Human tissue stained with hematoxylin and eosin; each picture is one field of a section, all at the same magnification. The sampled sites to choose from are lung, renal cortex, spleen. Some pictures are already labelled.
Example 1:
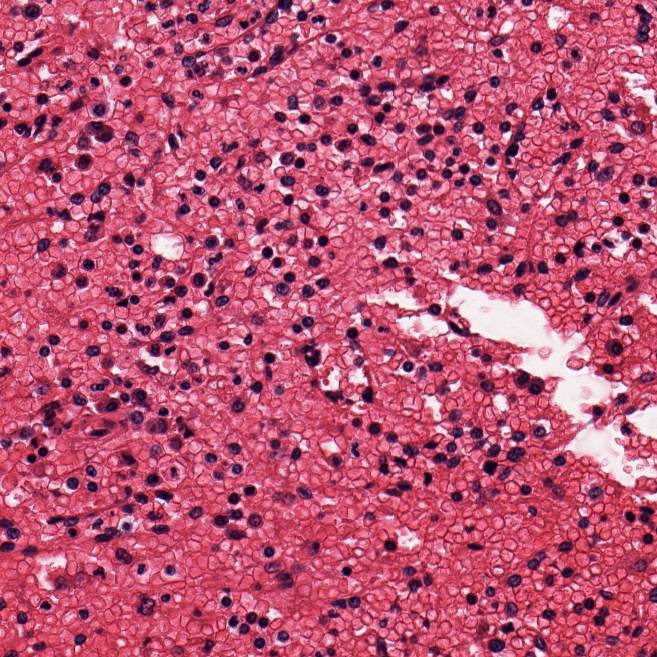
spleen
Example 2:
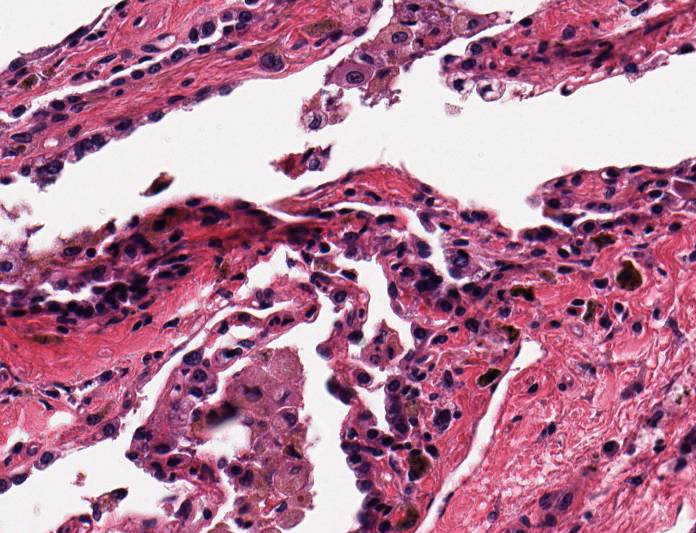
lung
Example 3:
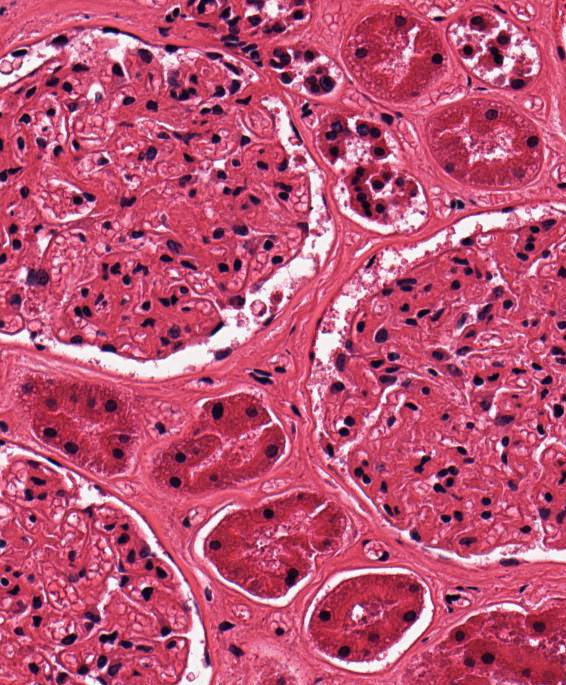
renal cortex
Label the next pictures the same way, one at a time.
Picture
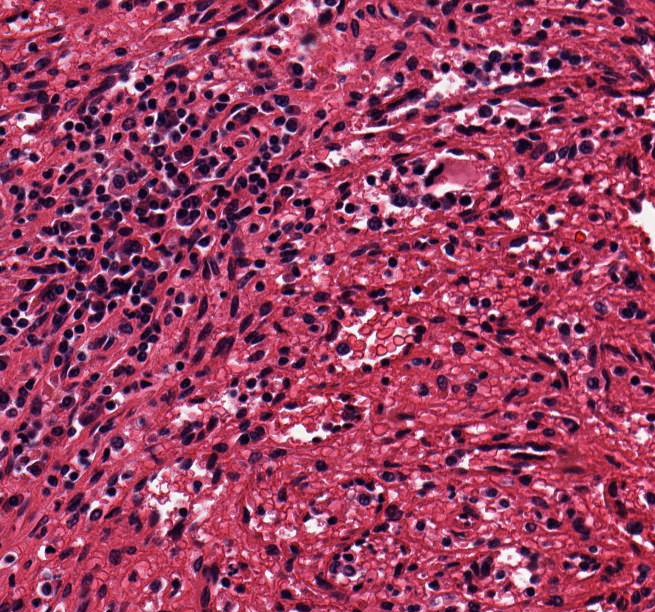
spleen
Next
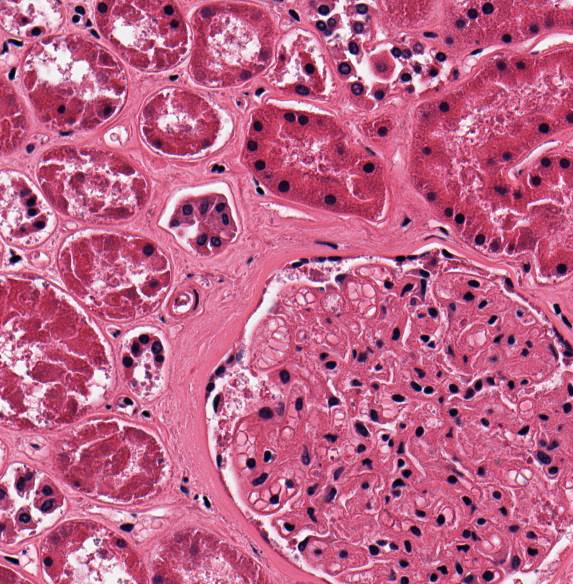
renal cortex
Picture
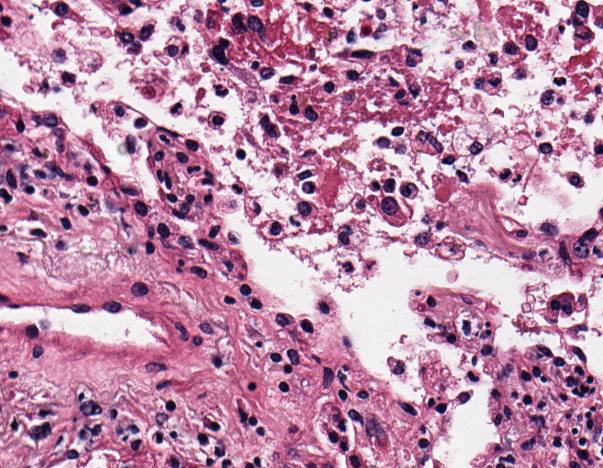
lung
